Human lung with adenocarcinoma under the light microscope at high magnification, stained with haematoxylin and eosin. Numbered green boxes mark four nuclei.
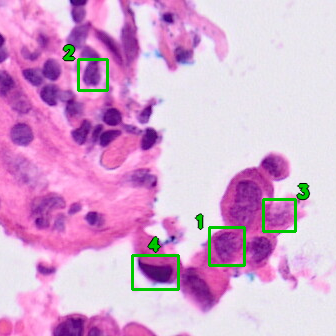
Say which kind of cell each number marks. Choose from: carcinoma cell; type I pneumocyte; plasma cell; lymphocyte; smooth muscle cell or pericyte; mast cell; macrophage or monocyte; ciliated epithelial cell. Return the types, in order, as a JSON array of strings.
["carcinoma cell", "lymphocyte", "carcinoma cell", "carcinoma cell"]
